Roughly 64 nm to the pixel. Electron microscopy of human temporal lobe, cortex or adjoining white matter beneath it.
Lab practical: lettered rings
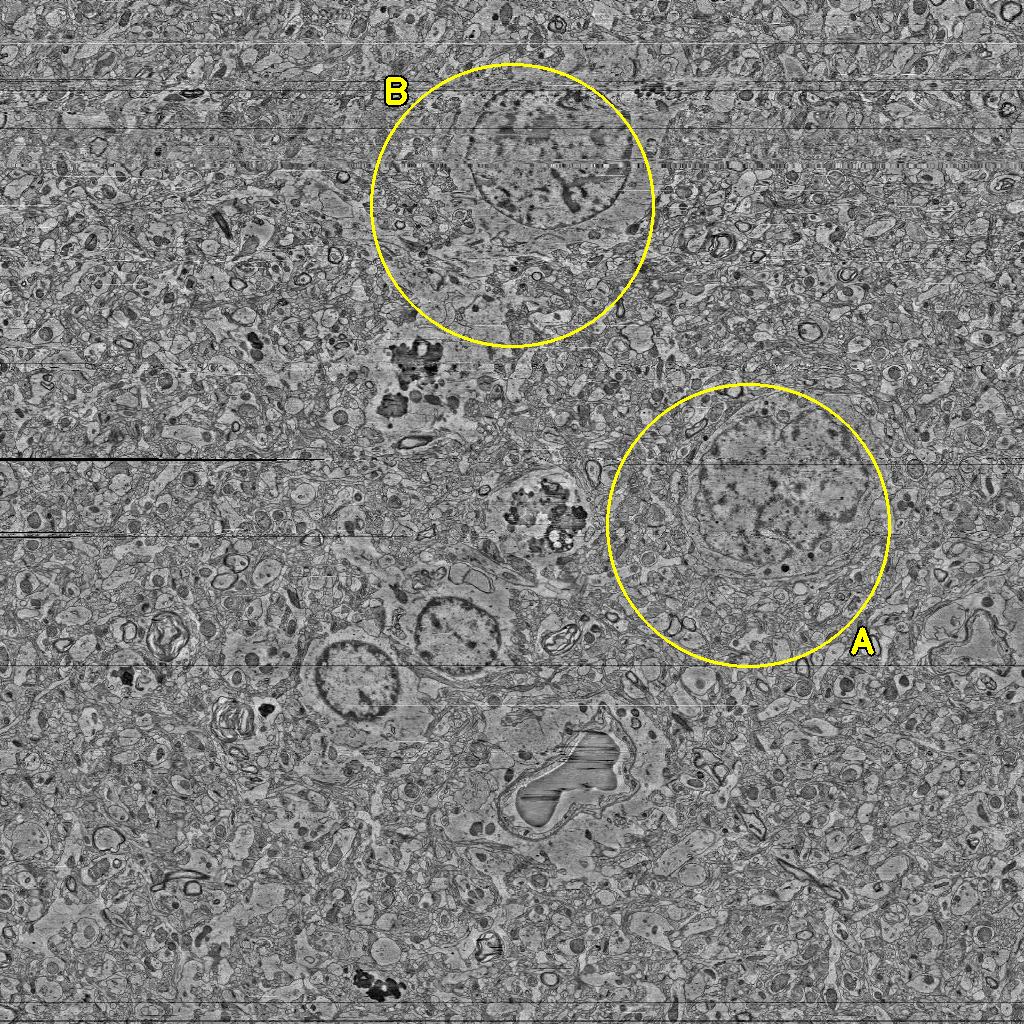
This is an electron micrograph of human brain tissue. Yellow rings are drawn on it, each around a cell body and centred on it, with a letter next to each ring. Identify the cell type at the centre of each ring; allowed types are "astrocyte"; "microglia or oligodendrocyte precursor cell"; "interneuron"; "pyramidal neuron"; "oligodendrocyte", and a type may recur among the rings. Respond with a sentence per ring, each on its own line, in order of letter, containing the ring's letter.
Lying at the centre of ring A is an interneuron.
Lying at the centre of ring B is an astrocyte.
